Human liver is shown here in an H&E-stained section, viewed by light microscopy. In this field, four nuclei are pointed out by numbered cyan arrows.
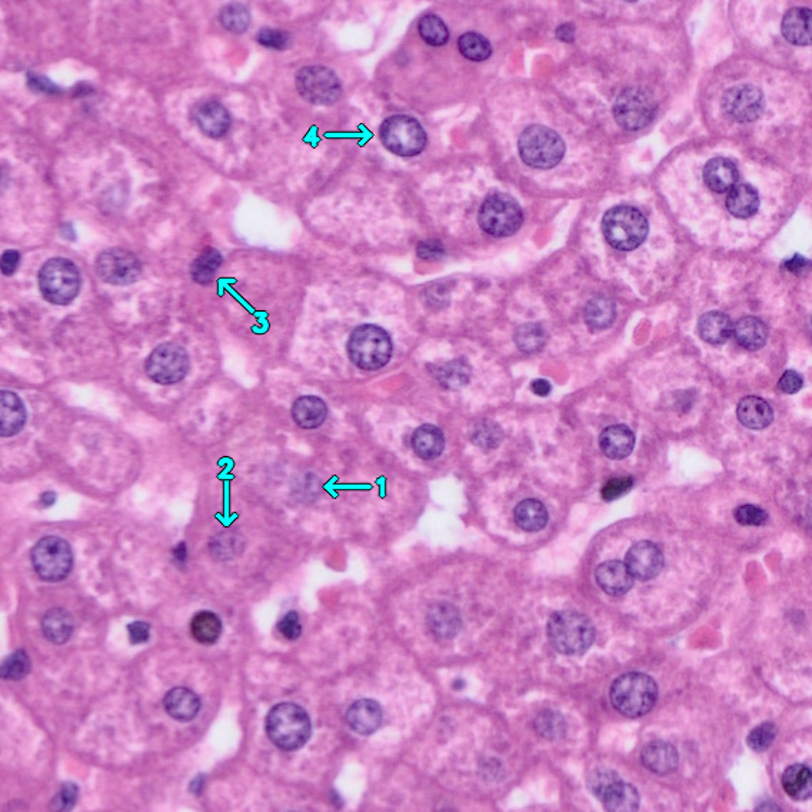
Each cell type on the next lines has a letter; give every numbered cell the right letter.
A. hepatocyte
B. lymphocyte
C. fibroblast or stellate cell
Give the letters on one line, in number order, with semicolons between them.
A; A; C; A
